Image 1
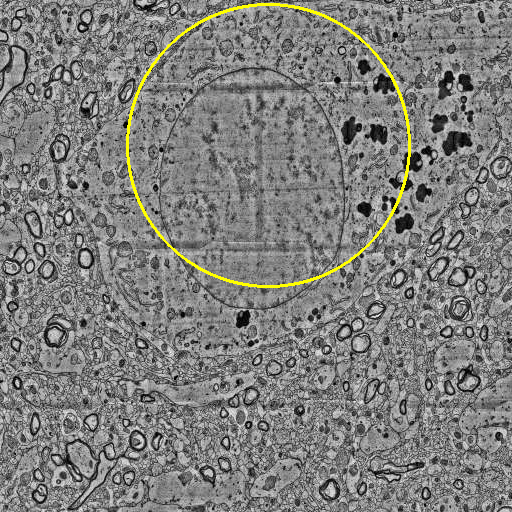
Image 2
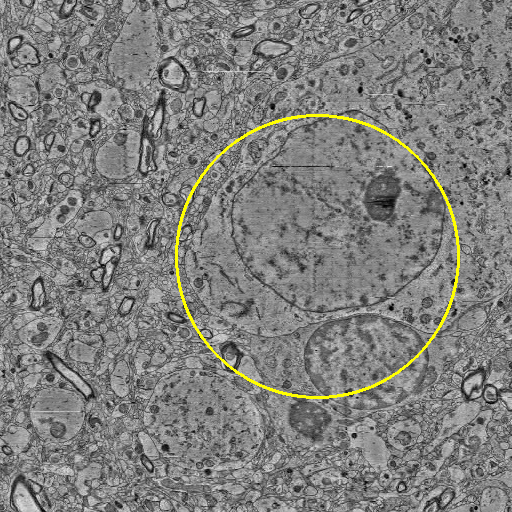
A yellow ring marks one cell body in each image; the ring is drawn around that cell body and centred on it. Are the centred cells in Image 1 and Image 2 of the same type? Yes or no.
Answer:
yes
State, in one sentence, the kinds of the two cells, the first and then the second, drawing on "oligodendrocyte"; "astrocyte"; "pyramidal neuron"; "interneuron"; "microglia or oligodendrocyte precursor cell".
Each of the two pictures has a pyramidal neuron at the ring centre.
